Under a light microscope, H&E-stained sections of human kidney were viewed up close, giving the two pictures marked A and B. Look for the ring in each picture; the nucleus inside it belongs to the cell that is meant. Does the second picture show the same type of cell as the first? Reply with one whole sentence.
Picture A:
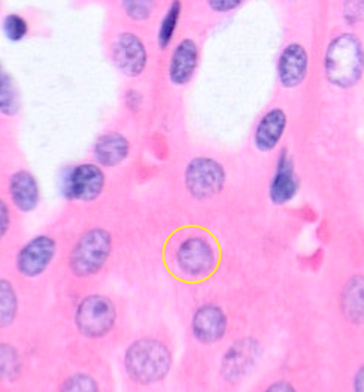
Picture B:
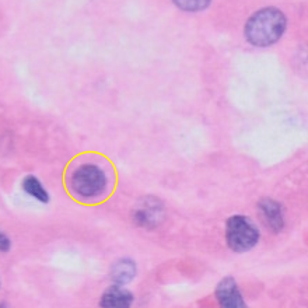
Yes, the two pictures both show proximal tubule cells.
